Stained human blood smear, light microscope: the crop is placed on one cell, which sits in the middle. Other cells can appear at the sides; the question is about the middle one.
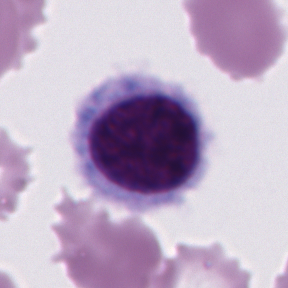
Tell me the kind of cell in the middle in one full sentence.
The middle of this crop is occupied by a hairy cell.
